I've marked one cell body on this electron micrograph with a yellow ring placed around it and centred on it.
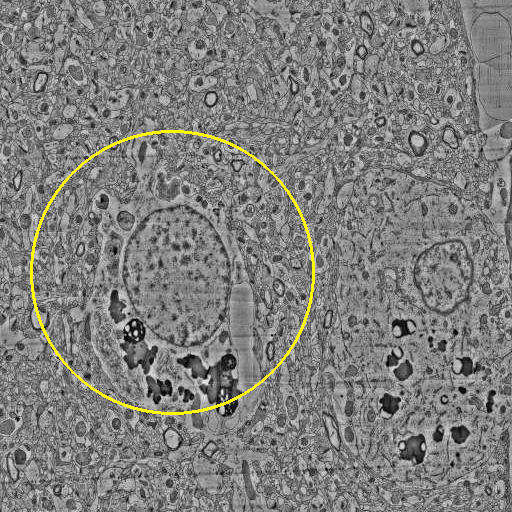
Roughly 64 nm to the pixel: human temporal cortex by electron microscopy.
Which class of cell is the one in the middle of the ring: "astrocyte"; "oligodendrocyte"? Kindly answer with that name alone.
astrocyte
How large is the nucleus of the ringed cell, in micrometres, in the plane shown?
In this plane, roughly 9 by 7 micrometres.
